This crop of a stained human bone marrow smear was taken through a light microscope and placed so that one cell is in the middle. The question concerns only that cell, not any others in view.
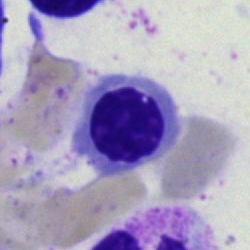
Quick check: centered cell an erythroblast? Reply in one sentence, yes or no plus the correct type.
Yes, the central element of the crop is an erythroblast.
